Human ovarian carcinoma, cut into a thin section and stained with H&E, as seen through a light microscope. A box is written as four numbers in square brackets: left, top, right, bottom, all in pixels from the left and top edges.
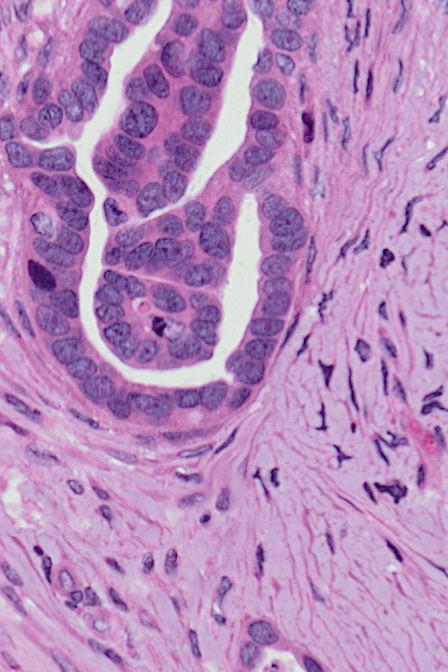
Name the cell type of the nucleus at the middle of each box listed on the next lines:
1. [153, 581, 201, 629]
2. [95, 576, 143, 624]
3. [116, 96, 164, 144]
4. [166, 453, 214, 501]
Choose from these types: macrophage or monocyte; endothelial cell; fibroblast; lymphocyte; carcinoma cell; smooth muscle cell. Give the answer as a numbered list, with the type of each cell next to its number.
1. fibroblast
2. fibroblast
3. carcinoma cell
4. fibroblast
